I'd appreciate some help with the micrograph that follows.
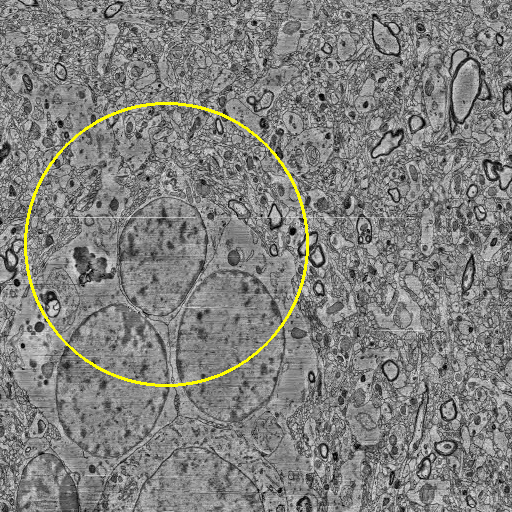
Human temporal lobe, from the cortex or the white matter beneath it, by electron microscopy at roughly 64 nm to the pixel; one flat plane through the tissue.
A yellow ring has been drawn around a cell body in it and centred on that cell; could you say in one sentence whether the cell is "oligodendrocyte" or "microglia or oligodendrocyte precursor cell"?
It is a microglial cell or oligodendrocyte precursor cell at the centre of the ring.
